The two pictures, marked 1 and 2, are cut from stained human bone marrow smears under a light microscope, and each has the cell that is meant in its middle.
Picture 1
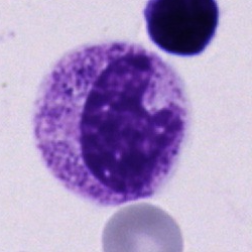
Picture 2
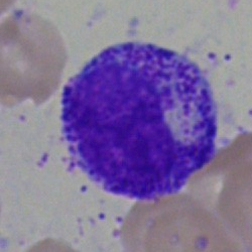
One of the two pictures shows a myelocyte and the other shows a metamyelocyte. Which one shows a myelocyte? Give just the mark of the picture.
2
